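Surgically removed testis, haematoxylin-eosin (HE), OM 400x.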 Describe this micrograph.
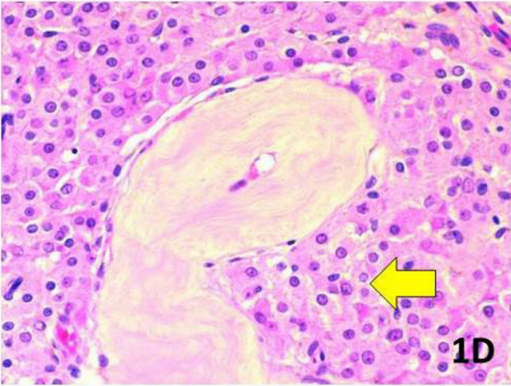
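This testicular tissue shows sheets of Leydig cells lying next to a hyalinised seminiferous tubule. The Leydig cells are polygonal with abundant pink, finely granular cytoplasm and distinct cell borders. Their nuclei are round, centrally placed and fairly uniform, with fine chromatin and small nucleoli. The tubule beside them is replaced by pale pink, homogeneous, layered material with only a tiny lumen and almost no cells. The cells are packed closely together with little stroma between them.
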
